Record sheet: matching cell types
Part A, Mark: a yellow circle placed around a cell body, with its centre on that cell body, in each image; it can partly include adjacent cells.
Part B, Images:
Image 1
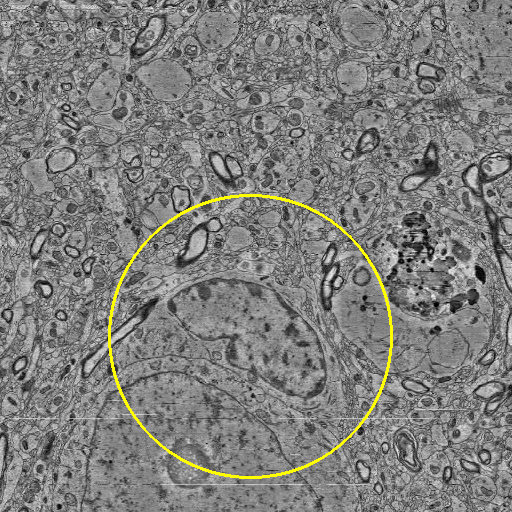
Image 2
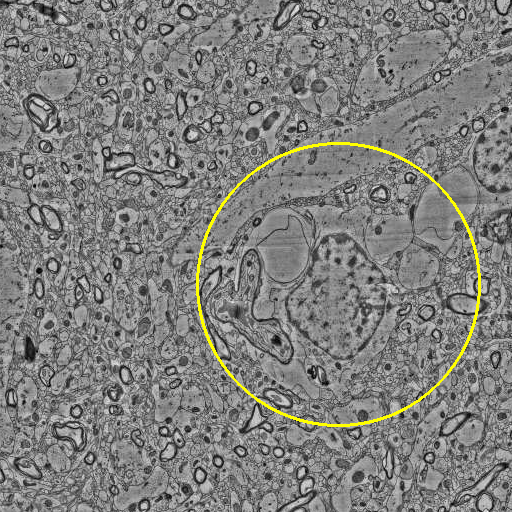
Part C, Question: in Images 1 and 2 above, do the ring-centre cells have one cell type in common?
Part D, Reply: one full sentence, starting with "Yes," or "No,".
Yes, the ring-centre cells of Image 1 and Image 2 are both of a single cell type.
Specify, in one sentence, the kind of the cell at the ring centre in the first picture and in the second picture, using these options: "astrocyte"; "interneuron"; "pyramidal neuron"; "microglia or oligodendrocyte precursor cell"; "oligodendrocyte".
In each picture the ringed cell is a microglial cell or oligodendrocyte precursor cell.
